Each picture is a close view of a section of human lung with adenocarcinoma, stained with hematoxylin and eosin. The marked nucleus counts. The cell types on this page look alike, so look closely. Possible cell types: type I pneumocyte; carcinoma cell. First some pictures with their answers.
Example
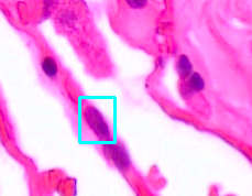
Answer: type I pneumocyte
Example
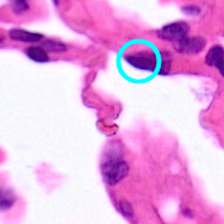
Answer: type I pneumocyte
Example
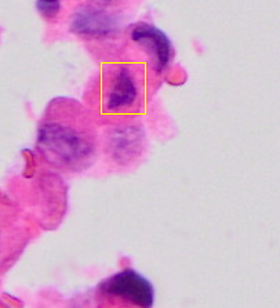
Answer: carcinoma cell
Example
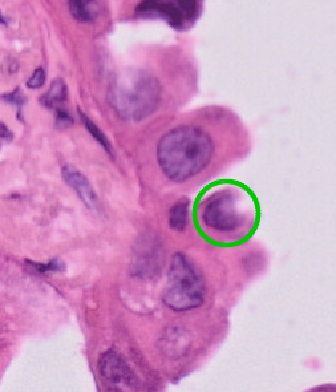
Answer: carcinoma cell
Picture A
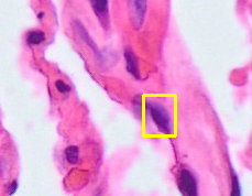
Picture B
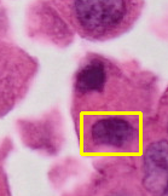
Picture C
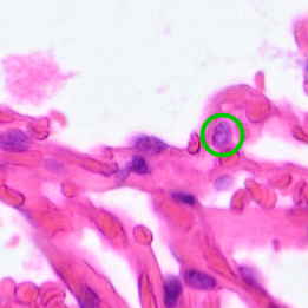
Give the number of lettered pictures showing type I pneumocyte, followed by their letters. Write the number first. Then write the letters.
Count: 2 (A, C)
